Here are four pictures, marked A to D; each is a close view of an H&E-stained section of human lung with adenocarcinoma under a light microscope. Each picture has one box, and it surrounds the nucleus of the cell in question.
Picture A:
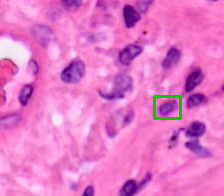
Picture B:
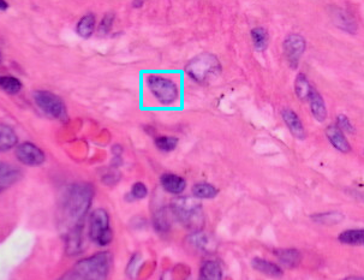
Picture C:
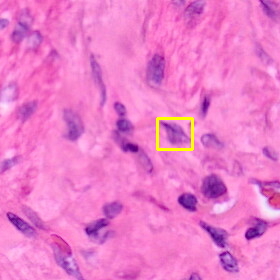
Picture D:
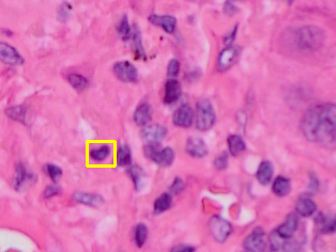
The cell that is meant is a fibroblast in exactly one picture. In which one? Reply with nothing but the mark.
C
